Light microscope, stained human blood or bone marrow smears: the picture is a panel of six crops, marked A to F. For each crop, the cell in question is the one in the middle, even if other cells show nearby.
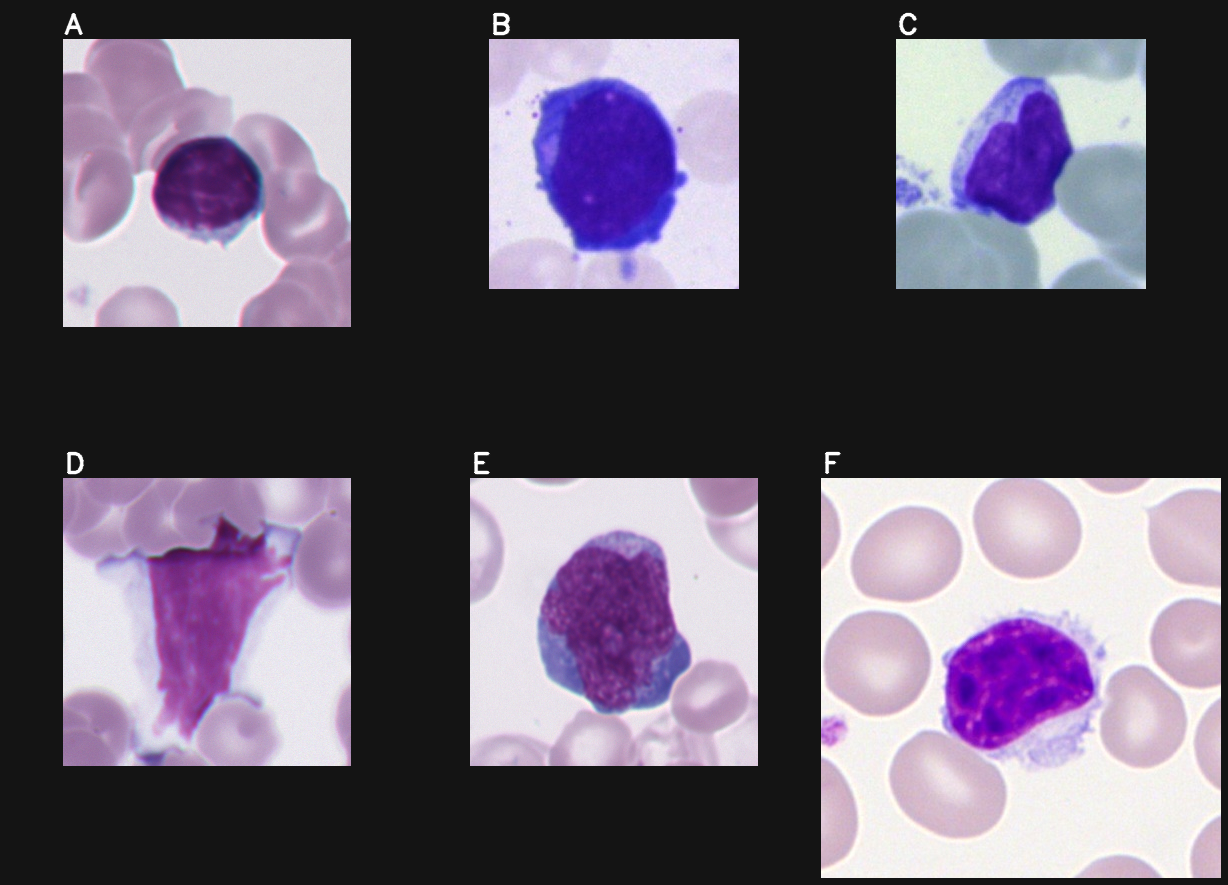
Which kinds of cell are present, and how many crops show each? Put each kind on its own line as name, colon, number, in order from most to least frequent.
lymphocyte: 4
blast: 2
